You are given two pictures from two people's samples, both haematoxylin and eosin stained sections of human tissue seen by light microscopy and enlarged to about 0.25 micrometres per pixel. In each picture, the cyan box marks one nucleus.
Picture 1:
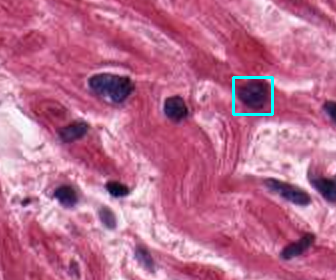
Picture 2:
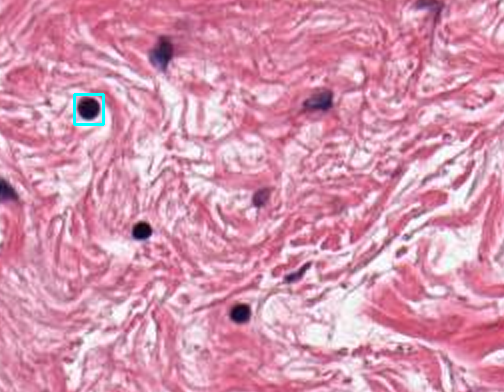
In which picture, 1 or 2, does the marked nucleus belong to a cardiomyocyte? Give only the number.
1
